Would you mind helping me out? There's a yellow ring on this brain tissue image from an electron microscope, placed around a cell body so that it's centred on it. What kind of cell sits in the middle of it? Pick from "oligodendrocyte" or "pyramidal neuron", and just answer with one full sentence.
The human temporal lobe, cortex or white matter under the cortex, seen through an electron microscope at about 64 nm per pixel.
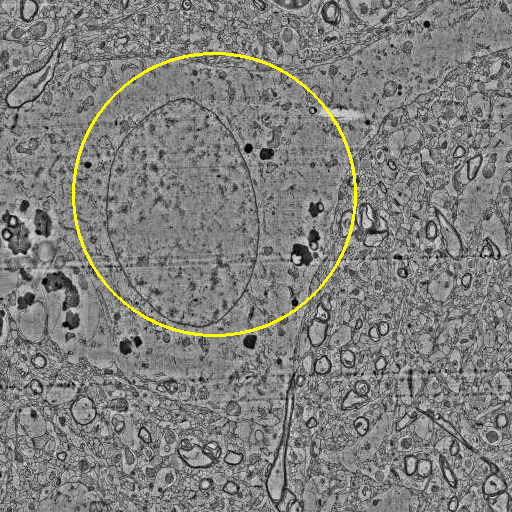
What sits in the middle of that yellow ring is a pyramidal neuron, from your choices.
